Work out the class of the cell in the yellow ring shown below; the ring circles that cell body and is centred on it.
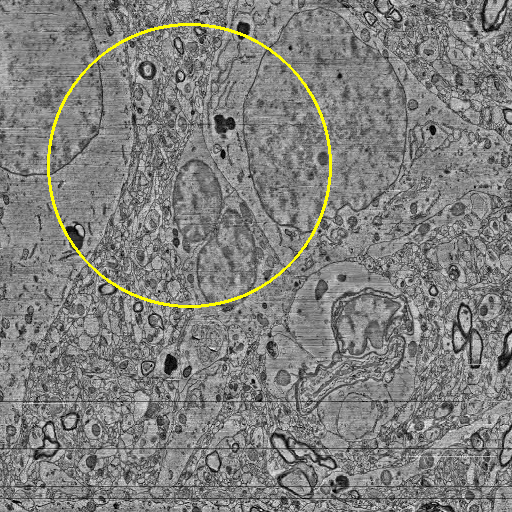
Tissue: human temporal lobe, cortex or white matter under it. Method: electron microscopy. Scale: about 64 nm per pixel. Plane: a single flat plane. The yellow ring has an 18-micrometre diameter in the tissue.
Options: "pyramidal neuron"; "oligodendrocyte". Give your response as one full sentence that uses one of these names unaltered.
The body ringed in yellow, right at the ring's centre, is that of an oligodendrocyte.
